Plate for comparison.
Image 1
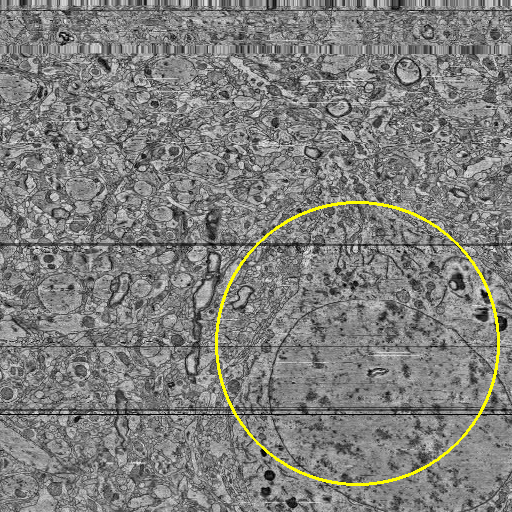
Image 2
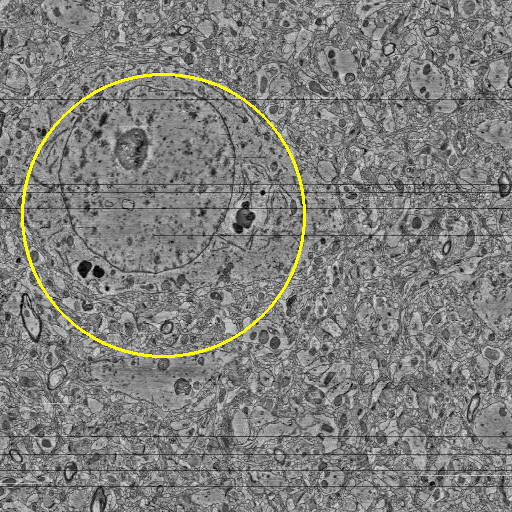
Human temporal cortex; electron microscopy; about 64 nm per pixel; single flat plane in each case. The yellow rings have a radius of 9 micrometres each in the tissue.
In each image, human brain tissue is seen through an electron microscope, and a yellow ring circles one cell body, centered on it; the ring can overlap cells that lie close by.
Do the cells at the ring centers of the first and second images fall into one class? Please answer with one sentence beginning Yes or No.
Yes, the first and second images show a single class of cell at the ring centers.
